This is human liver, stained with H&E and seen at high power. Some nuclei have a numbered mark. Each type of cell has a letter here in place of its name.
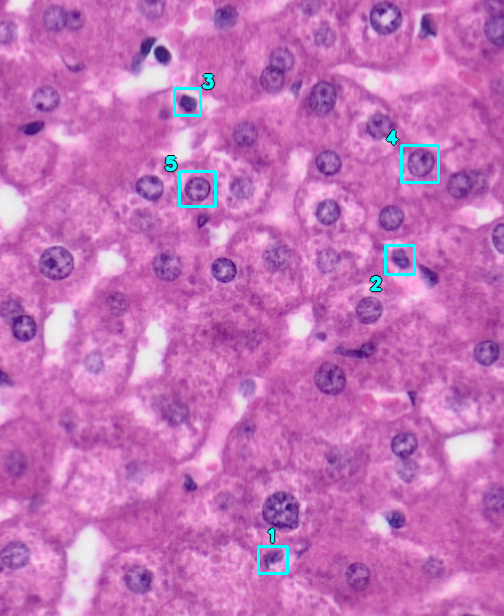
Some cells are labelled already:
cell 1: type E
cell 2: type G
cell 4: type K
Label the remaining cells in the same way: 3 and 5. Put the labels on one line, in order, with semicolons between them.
type G; type K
